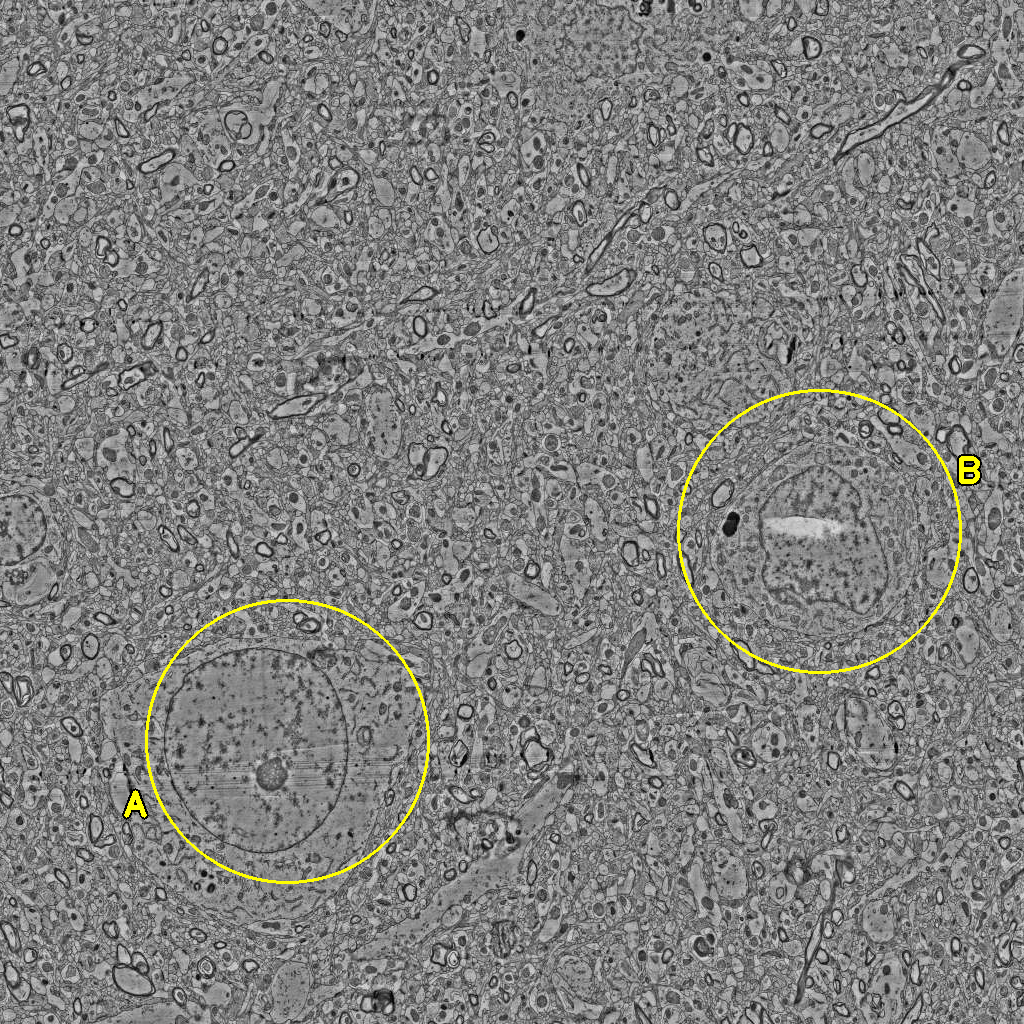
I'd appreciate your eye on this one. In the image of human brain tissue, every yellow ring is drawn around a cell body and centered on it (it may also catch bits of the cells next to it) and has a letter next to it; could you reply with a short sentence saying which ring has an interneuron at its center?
Ring B is centered on it.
